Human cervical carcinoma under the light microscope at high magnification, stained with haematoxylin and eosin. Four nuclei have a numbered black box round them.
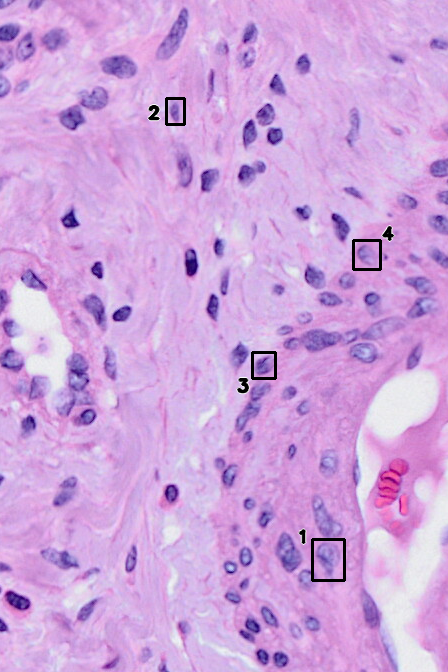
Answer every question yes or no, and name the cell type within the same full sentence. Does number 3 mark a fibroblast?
No, the cell bearing the number 3 is a smooth muscle cell, not a fibroblast.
